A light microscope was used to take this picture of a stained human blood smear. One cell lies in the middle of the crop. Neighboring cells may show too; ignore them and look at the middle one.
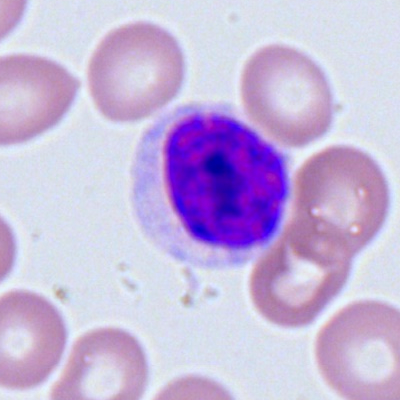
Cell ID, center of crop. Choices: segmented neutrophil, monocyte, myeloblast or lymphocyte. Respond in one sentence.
In this smear crop, the middle cell is a lymphocyte.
